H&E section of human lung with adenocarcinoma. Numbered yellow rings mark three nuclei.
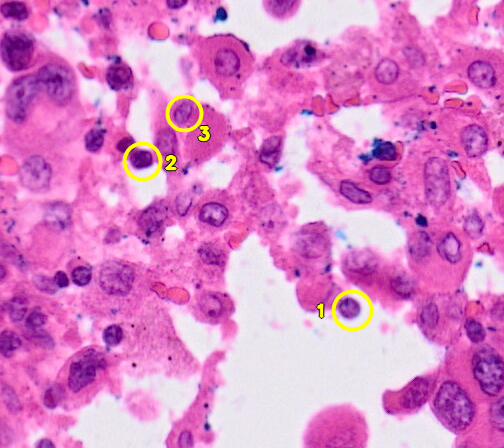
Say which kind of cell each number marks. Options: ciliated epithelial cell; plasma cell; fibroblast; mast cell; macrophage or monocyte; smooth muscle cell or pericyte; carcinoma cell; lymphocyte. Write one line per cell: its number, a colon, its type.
1: lymphocyte
2: lymphocyte
3: macrophage or monocyte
